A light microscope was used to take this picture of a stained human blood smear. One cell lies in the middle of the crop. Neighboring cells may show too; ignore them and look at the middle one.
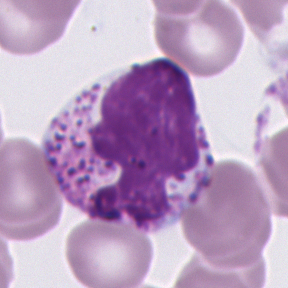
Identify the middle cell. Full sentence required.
In the middle of this smear crop, the cell is a basophil.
